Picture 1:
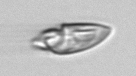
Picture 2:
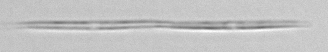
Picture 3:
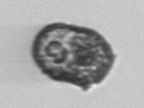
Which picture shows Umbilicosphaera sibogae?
Picture 3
